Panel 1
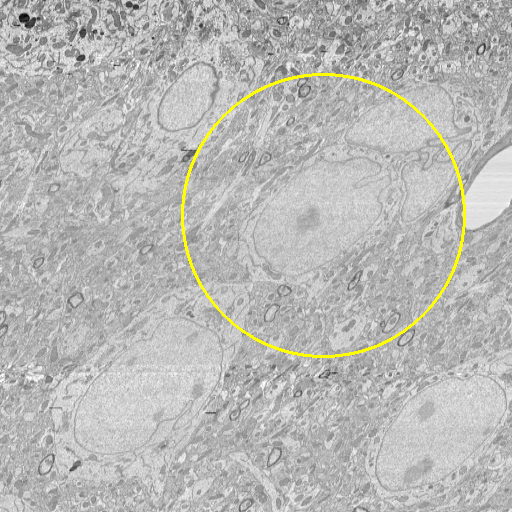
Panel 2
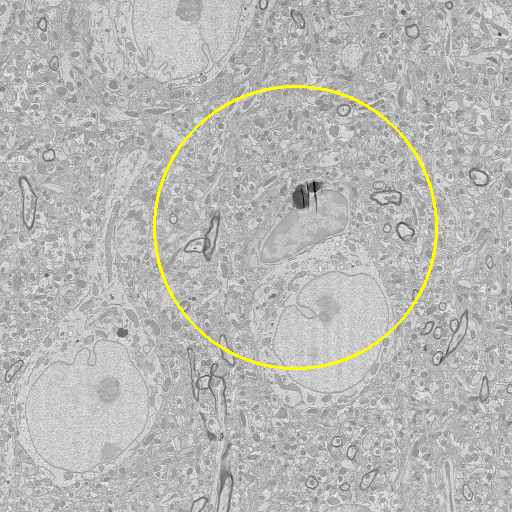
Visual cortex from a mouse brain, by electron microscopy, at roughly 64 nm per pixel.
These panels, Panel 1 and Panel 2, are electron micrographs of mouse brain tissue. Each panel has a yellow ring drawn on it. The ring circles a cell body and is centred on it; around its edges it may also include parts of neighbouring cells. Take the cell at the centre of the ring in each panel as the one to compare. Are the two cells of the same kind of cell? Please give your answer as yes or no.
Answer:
no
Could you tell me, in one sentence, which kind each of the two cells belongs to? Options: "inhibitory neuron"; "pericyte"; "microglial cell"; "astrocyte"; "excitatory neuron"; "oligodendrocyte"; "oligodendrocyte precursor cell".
At the centre of the first ring sits an excitatory neuron, and at the centre of the second sits a microglial cell.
